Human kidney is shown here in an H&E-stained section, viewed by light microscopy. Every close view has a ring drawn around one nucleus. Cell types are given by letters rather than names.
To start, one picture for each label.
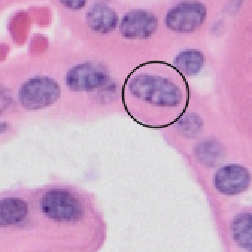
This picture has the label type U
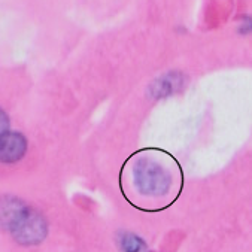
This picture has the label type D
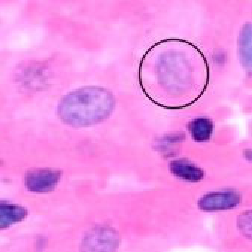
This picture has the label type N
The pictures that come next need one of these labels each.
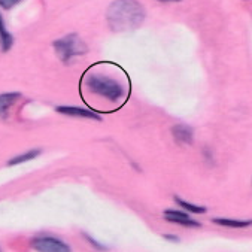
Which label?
type D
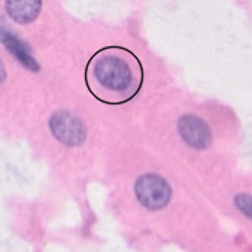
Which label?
type N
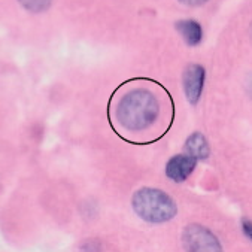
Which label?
type N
